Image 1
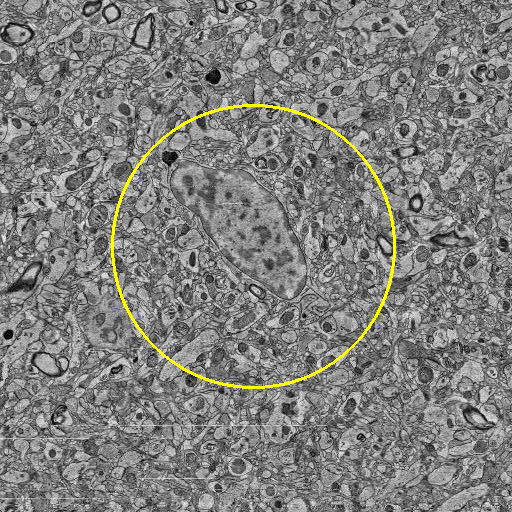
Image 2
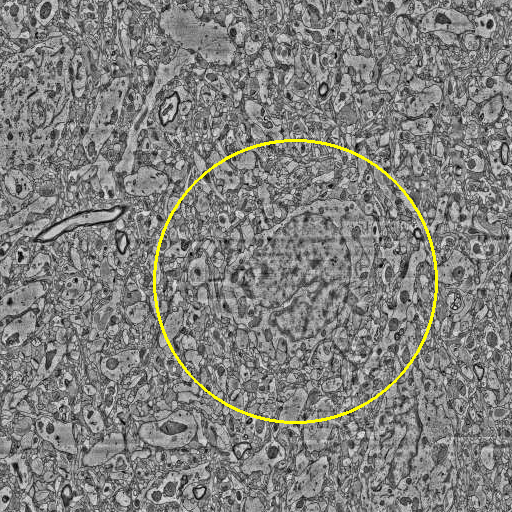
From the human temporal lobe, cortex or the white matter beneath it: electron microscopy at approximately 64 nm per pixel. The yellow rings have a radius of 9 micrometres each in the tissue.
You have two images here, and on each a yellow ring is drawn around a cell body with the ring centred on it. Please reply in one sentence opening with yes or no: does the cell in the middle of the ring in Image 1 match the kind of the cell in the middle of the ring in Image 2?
No, the two images show cells of two kinds at the centres of their rings.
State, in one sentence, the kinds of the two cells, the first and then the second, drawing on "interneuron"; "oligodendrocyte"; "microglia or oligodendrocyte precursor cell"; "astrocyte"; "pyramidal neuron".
The ring in the second picture is centred on an interneuron, the ring in the first on a microglial cell or oligodendrocyte precursor cell.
